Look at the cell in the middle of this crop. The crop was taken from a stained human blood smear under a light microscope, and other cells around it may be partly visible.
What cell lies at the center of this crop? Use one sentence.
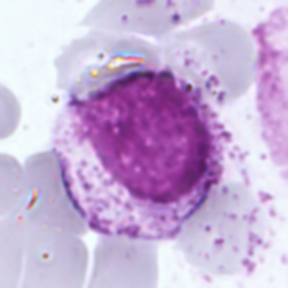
The centered cell in this crop is a myelocyte.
